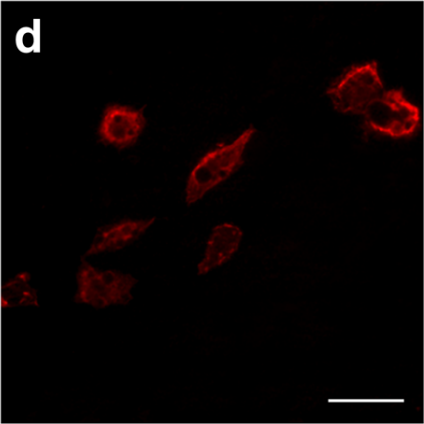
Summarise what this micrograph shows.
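The cells are scattered singly, rounded to oval or somewhat spindle-shaped, with few or short extensions. The red staining fills the cytoplasm and is often brightest as a ring near the cell edge or around the centre. A darker round area inside many cells marks the position of the nucleus.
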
